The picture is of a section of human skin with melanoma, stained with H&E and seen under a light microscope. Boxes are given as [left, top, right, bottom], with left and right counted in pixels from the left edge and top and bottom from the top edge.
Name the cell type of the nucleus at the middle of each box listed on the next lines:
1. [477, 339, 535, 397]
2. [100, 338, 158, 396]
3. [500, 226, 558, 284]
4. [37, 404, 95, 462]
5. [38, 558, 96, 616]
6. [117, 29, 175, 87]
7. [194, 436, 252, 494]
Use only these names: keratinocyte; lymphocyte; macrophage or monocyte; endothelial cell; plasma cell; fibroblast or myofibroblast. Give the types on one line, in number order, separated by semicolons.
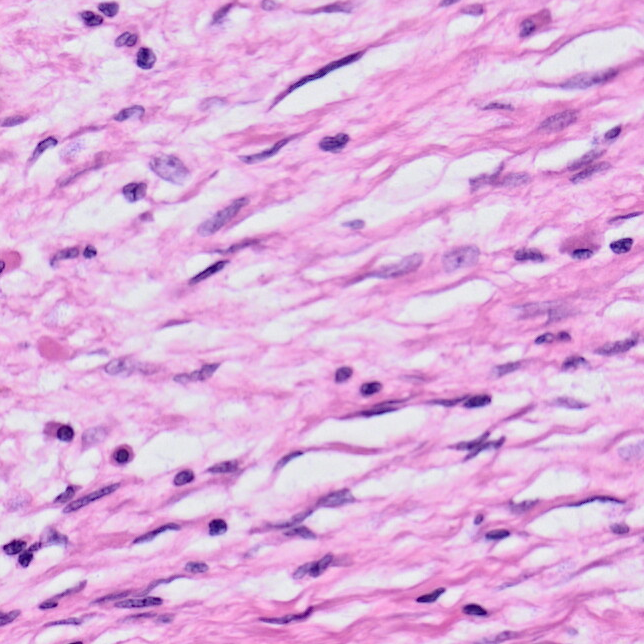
fibroblast or myofibroblast; fibroblast or myofibroblast; macrophage or monocyte; plasma cell; fibroblast or myofibroblast; lymphocyte; fibroblast or myofibroblast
